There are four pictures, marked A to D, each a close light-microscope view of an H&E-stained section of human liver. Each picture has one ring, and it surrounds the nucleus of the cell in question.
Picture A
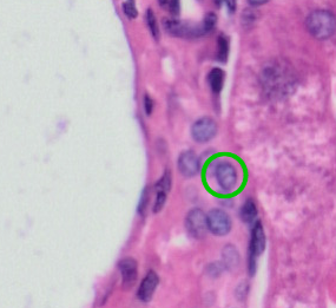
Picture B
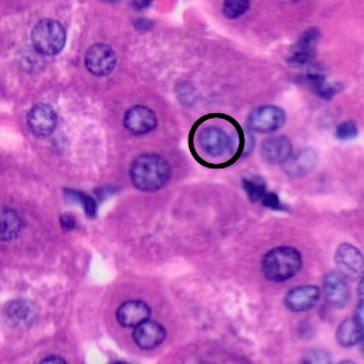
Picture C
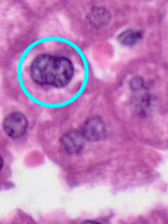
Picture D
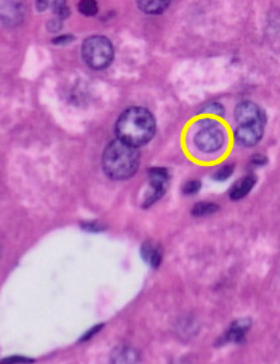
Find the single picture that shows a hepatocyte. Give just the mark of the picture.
C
